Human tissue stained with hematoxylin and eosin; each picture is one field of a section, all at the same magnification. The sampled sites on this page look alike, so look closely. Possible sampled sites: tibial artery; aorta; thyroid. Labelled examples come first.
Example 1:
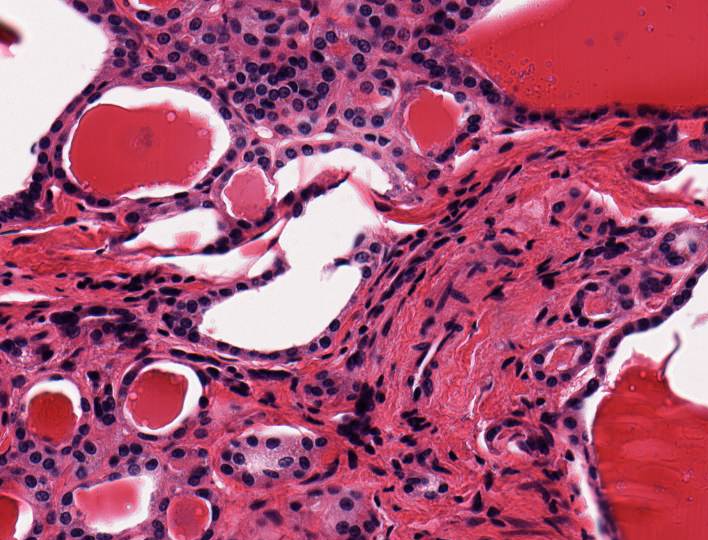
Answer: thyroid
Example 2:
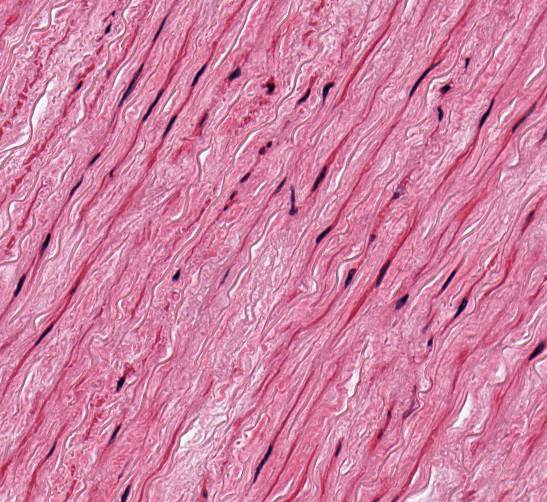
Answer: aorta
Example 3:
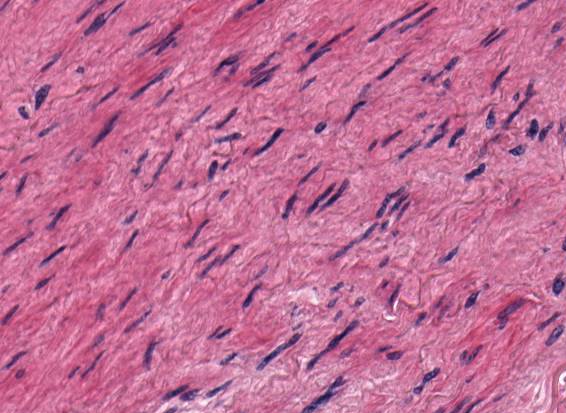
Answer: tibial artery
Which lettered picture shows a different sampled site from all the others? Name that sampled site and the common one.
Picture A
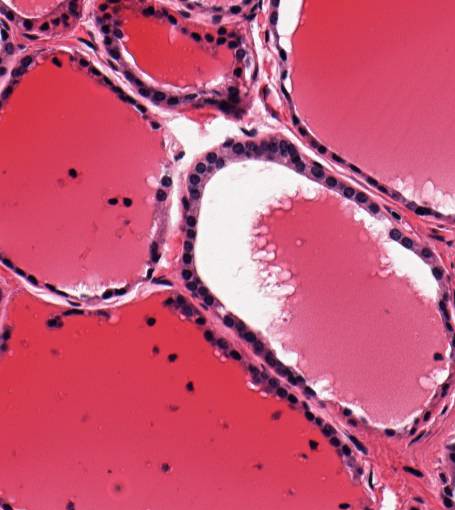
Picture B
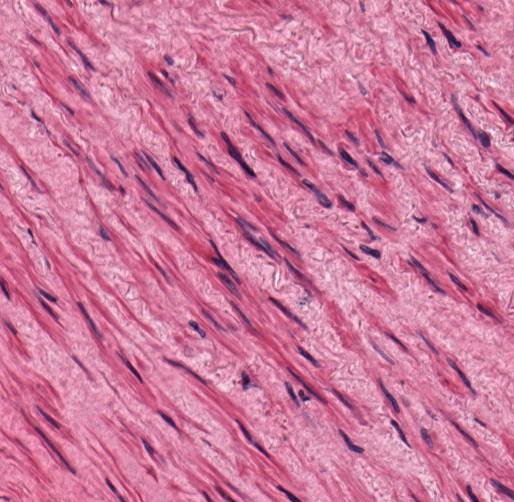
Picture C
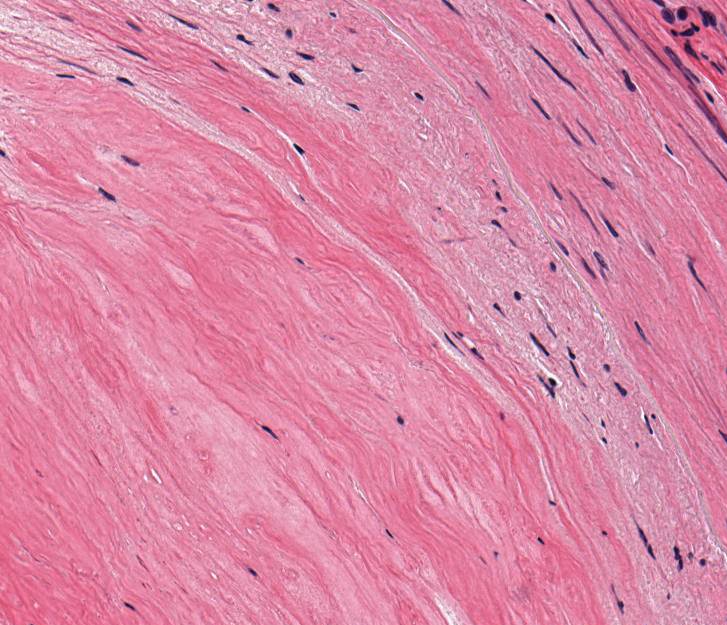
Picture A: thyroid. All others: tibial artery.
